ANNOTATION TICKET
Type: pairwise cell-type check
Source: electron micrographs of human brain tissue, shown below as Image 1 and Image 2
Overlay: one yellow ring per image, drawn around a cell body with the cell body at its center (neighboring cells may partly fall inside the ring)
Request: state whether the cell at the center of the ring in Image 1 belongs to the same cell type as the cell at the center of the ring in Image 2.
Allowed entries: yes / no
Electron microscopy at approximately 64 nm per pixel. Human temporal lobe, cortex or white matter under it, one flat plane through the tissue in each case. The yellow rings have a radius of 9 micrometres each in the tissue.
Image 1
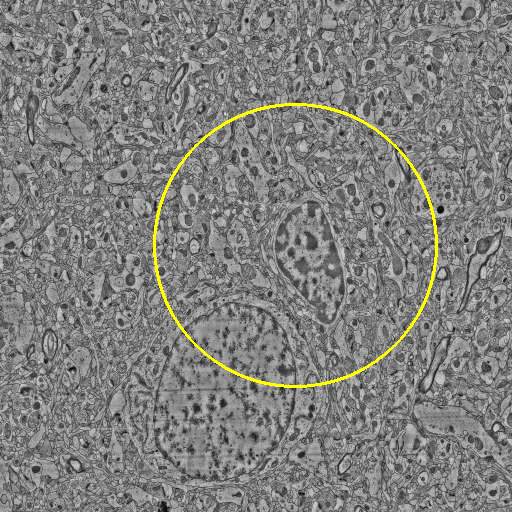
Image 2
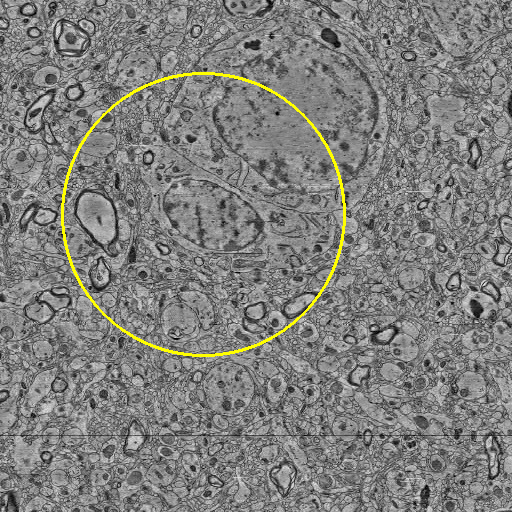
yes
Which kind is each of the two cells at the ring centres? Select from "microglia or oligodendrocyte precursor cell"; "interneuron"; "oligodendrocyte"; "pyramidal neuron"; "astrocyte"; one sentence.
Both the first and the second picture show a microglial cell or oligodendrocyte precursor cell in the ring.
